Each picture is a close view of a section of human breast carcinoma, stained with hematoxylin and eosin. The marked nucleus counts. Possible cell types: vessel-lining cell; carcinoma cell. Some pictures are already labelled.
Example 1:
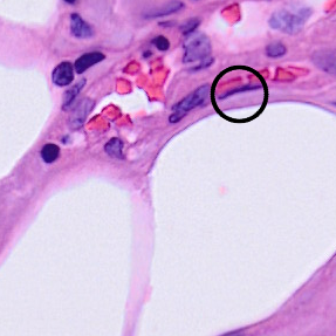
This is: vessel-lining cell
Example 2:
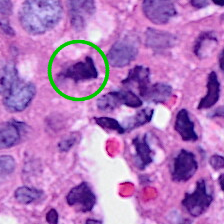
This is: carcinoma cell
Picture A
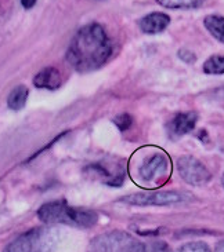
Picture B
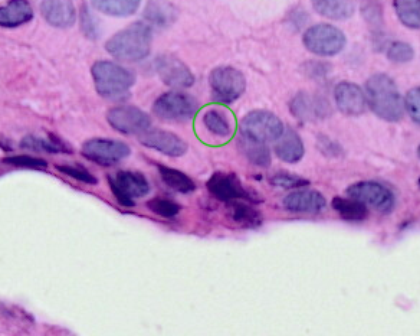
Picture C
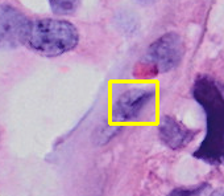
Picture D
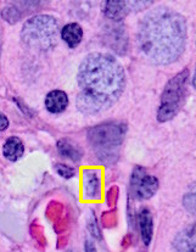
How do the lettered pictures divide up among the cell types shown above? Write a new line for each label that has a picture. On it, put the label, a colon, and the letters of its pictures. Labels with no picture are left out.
vessel-lining cell: A, C, D
carcinoma cell: B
